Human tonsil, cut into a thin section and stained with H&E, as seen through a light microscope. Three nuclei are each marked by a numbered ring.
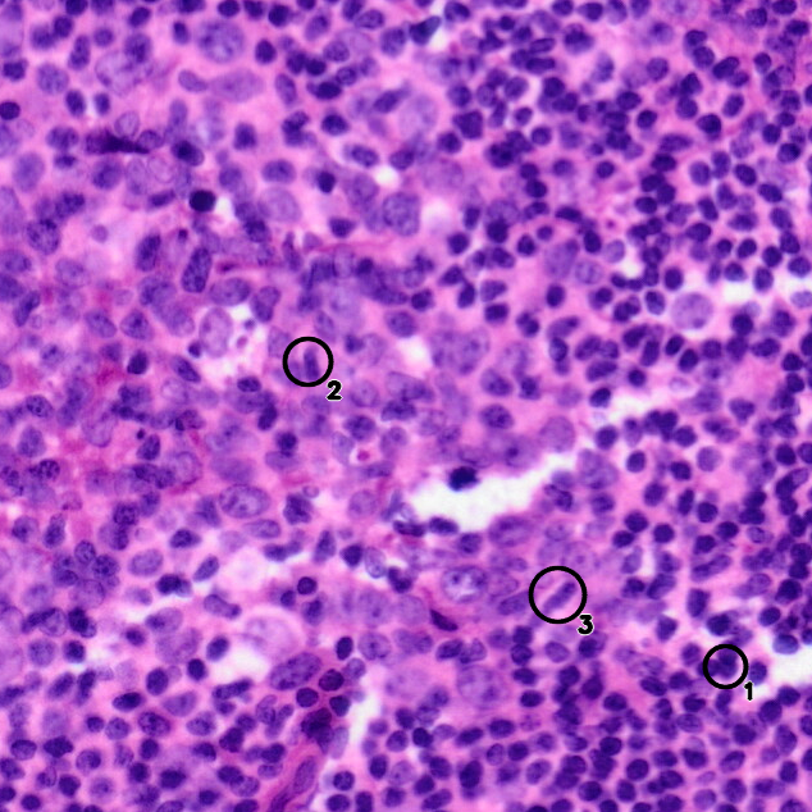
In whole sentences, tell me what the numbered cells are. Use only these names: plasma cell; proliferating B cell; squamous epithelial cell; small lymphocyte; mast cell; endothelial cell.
Cell 1 is a small lymphocyte, cell 2 is a proliferating B cell and cell 3 is a proliferating B cell.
